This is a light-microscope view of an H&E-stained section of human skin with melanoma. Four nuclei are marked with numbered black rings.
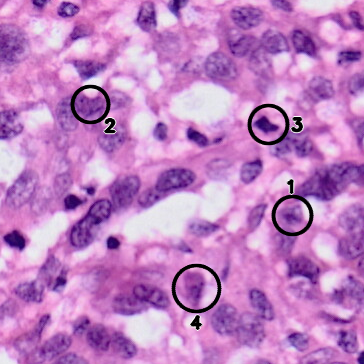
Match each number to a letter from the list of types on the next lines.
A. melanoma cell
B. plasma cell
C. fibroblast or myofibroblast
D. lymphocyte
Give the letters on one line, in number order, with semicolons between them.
A; A; D; A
